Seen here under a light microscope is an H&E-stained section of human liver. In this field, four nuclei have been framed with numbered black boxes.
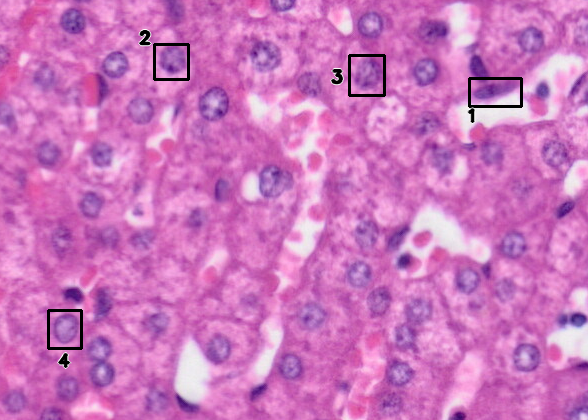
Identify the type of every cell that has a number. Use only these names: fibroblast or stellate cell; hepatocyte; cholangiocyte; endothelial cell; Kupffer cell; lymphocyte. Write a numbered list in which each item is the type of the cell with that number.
1. Kupffer cell
2. hepatocyte
3. hepatocyte
4. hepatocyte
